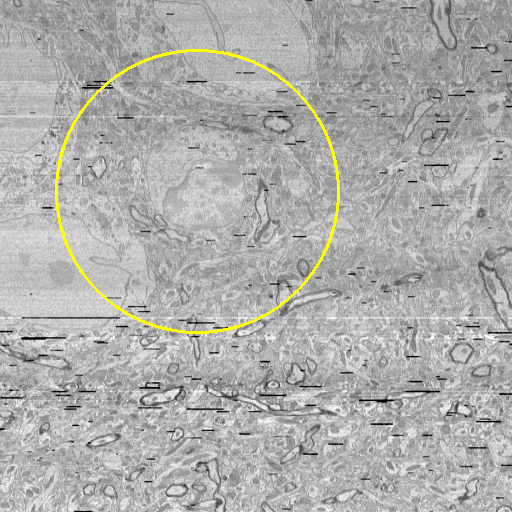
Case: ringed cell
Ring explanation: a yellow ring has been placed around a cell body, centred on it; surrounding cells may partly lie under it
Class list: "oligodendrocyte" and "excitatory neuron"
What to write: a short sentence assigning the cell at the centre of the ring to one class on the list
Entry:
The cell at the ring's centre is an oligodendrocyte.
